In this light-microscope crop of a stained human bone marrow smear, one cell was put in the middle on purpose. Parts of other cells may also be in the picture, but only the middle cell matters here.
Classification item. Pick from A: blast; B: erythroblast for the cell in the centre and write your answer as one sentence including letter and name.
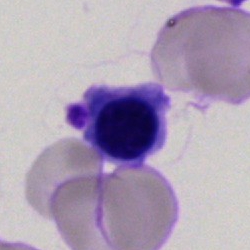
The central cell, an erythroblast, is correctly identified by option B.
